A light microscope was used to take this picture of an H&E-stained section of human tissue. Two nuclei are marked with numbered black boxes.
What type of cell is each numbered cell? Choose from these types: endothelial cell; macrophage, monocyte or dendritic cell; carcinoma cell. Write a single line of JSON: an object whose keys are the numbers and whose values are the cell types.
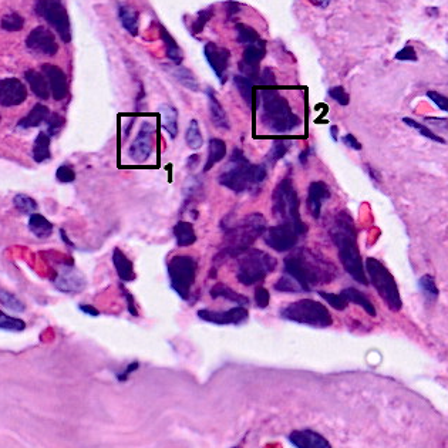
{"1": "endothelial cell", "2": "carcinoma cell"}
